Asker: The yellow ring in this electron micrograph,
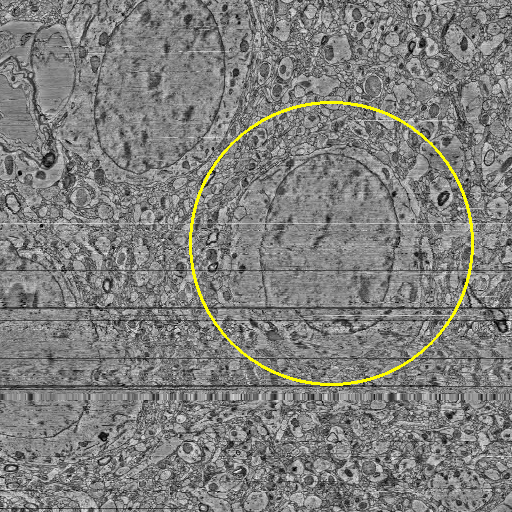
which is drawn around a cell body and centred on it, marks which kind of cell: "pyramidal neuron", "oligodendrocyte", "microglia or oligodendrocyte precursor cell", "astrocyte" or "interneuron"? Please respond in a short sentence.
The marked cell is a pyramidal neuron.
